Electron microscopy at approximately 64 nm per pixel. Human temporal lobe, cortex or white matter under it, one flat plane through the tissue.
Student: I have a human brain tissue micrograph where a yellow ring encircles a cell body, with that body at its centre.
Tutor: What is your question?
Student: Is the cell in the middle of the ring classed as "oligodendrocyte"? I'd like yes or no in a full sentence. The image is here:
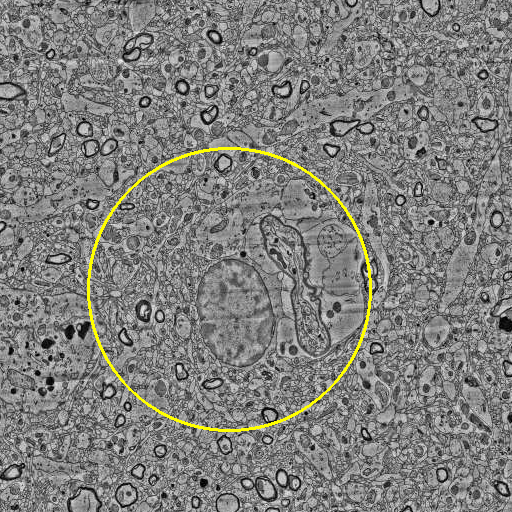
Yes, the cell in the middle of the ring is classed as that kind.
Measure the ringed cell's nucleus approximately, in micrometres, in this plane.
Approximately 7 by 5 micrometers in this plane.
